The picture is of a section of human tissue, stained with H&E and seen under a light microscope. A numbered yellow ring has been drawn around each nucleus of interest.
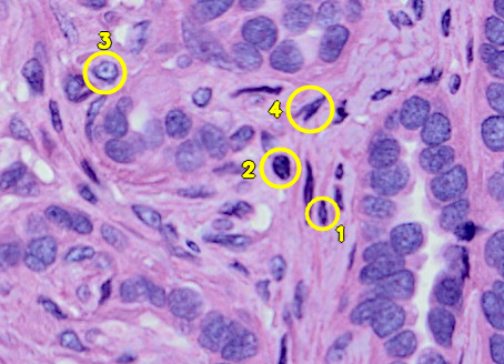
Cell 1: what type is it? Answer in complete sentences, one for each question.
Cell 1 in the field of view is a fibroblast.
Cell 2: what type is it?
Cell 2, among those numbered, is a lymphocyte.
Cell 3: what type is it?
Numbered cell 3 is a fibroblast in this tissue section.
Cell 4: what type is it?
The cell with the number 4 is a fibroblast.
